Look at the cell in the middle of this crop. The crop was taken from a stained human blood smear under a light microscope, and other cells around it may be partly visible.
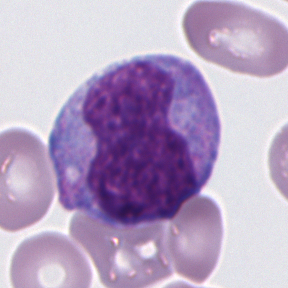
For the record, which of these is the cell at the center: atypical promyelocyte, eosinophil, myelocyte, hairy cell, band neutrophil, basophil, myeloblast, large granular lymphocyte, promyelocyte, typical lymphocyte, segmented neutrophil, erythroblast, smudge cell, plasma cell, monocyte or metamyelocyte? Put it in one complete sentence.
The cell of interest, in the center, is an atypical promyelocyte.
